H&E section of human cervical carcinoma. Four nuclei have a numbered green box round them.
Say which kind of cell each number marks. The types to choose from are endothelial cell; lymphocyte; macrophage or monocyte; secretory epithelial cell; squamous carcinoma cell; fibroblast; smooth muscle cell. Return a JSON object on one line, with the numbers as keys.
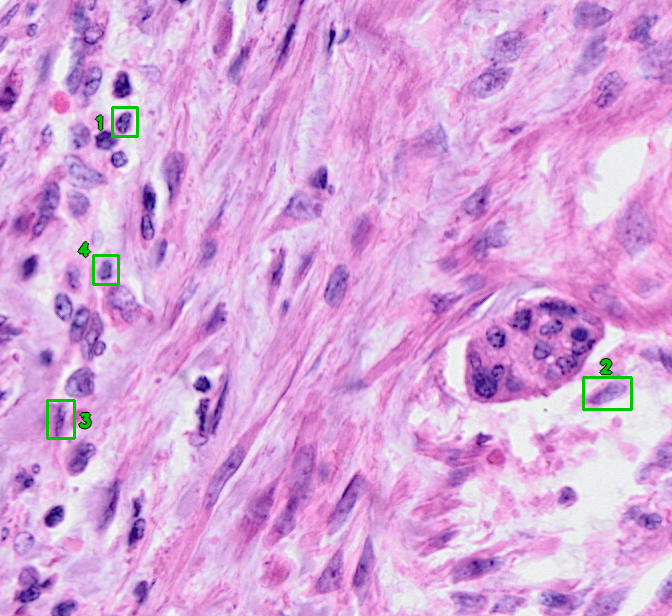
{"1": "lymphocyte", "2": "fibroblast", "3": "endothelial cell", "4": "lymphocyte"}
